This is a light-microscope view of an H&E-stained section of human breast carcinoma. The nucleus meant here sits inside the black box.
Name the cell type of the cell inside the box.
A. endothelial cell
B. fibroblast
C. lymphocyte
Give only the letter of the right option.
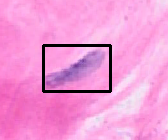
B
